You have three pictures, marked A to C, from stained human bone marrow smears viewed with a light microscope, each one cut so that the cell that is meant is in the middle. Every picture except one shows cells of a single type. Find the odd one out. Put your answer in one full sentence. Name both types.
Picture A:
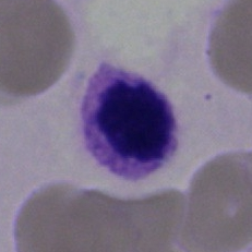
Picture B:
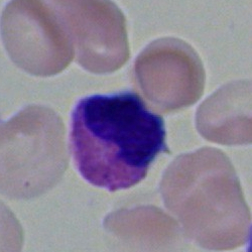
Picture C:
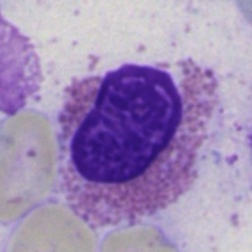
All pictures except A show eosinophils; picture A shows a basophil.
